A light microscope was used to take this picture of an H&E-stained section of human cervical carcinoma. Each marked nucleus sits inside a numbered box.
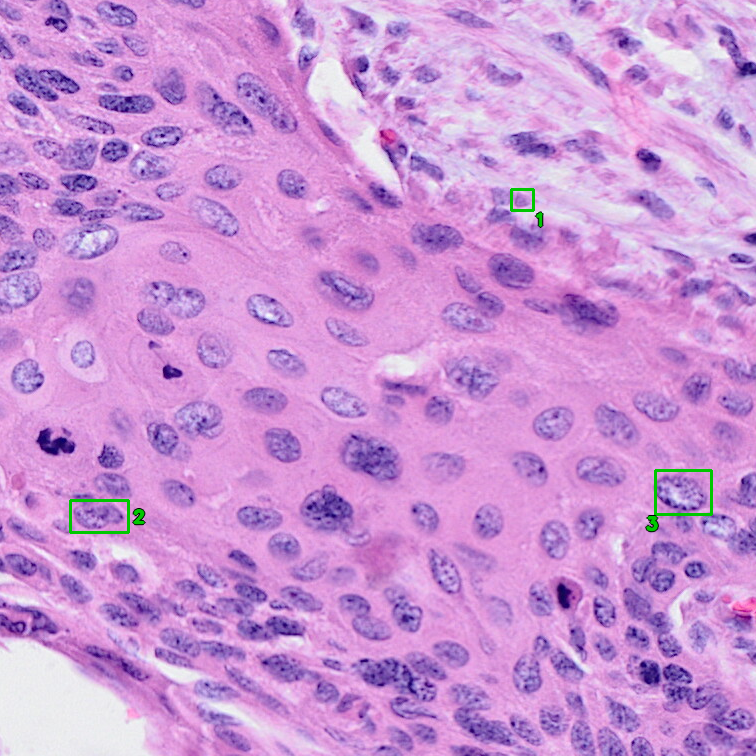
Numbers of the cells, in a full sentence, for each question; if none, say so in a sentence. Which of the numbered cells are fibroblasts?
The one cell that is a fibroblast is cell 1, and no other.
